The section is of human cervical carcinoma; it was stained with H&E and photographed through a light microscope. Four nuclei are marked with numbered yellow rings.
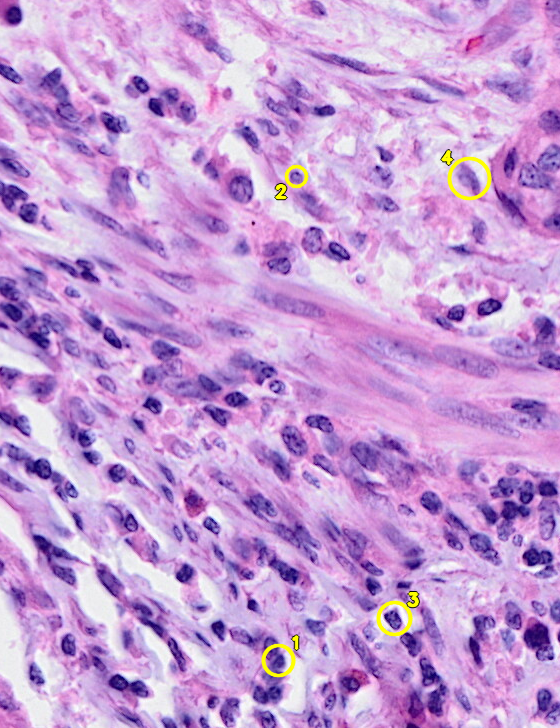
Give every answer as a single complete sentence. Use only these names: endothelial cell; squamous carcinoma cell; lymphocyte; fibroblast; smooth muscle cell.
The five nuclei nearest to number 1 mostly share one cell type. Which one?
The majority of the five nuclei closest to number 1 belong to lymphocytes.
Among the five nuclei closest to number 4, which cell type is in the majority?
Most of the five nuclei nearest to number 4 are those of squamous carcinoma cells.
